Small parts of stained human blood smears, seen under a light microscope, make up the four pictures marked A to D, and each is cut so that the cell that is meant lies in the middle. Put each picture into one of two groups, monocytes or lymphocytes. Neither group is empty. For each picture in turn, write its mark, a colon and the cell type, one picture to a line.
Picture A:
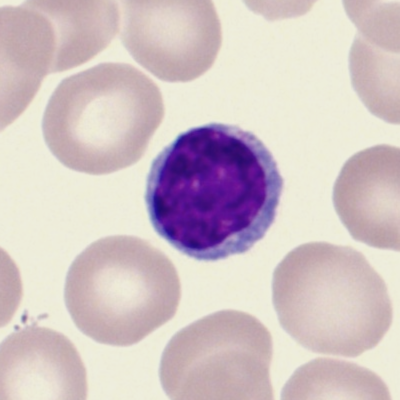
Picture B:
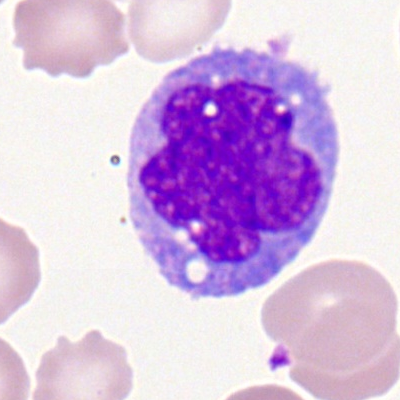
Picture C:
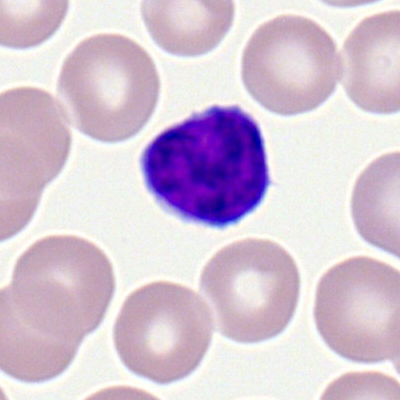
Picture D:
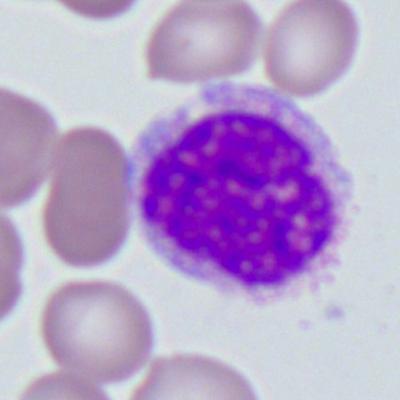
A: lymphocyte
B: monocyte
C: lymphocyte
D: monocyte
